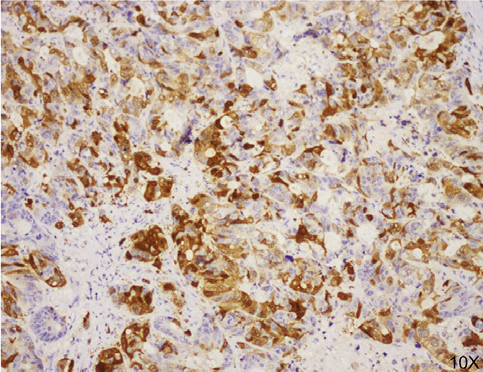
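Sheets and small nests of tumour cells with large, irregular nuclei crowd the field, with few clear gland lumens and thin strands of pale stroma between them. Many tumour cells are strongly brown in cytoplasm and nucleus, while others beside them show only blue counterstained nuclei, giving a patchy pattern. Small blue stromal nuclei lie in the pale areas between the nests.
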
